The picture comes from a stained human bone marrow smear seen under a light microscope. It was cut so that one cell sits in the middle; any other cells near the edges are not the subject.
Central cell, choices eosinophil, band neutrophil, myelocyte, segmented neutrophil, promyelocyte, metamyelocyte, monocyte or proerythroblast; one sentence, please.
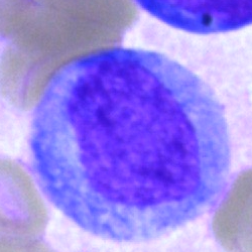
The cell in the middle of this crop is a promyelocyte.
